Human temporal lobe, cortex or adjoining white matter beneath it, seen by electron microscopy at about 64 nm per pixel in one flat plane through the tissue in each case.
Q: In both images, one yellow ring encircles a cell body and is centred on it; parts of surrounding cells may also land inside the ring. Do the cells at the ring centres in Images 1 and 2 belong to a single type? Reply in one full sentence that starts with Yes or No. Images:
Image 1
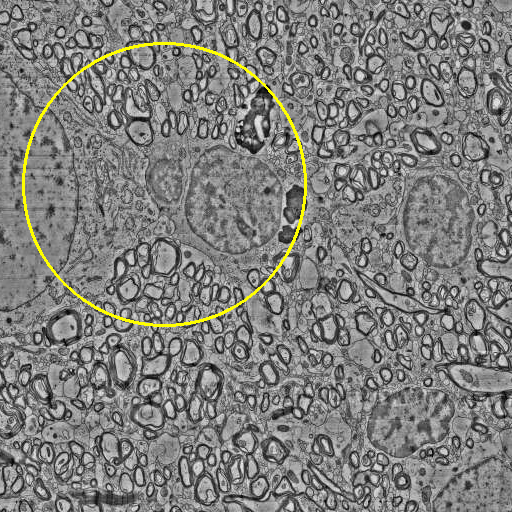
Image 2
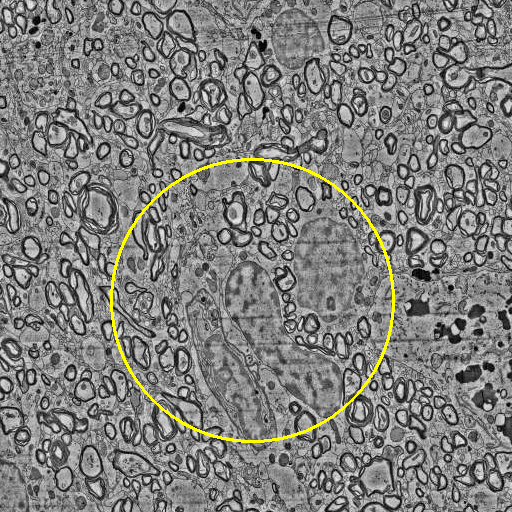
No, the cells at the ring centres in Images 1 and 2 are of two types.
